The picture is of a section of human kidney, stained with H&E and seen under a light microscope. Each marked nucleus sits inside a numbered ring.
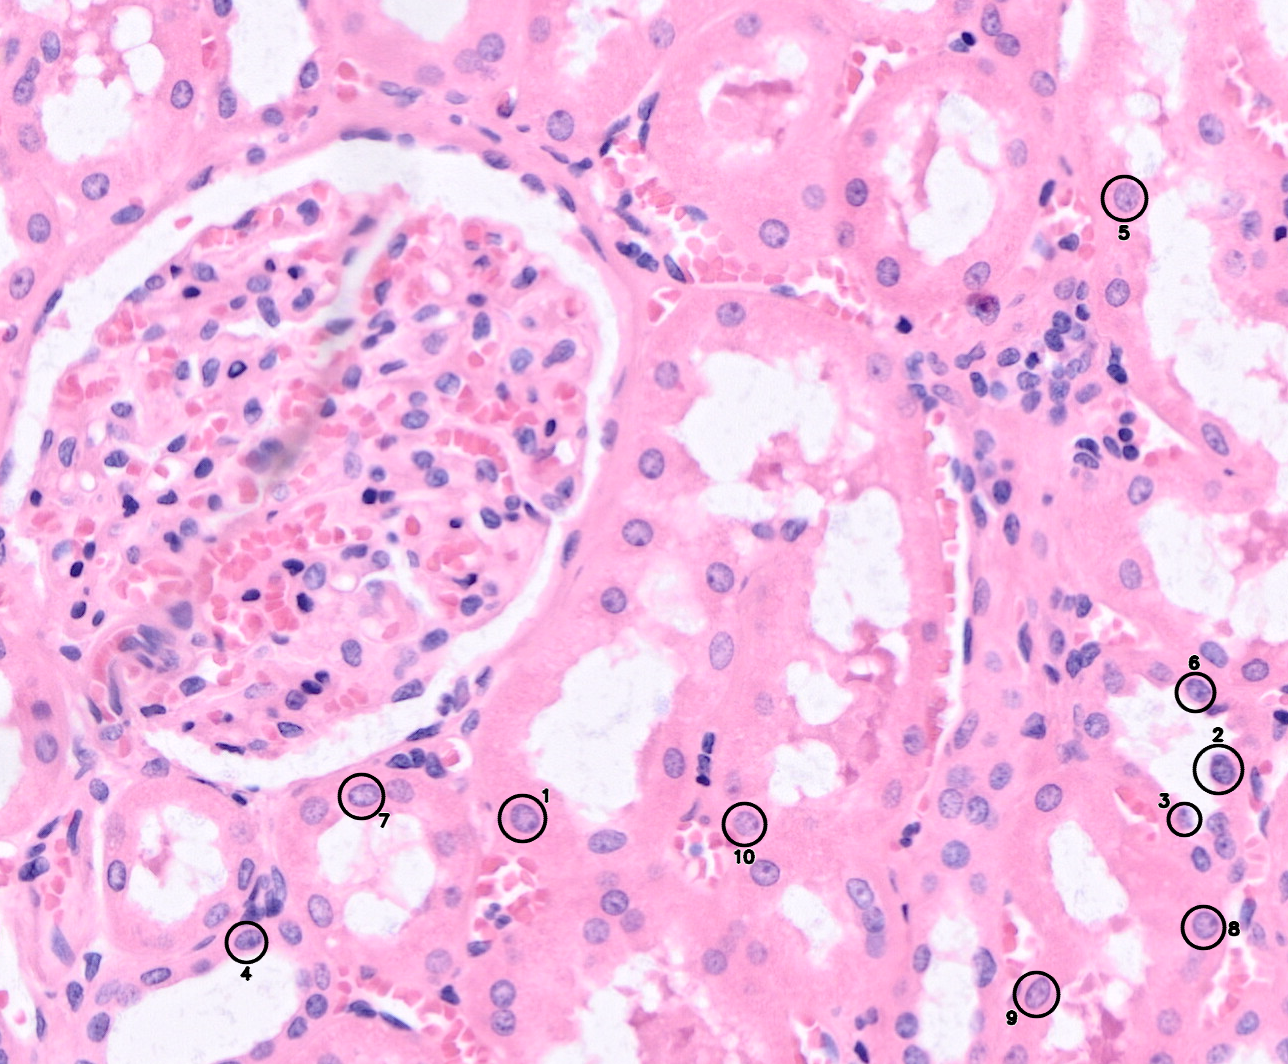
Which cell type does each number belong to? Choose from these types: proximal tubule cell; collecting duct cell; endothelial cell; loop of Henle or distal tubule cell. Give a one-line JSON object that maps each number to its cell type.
{"1": "proximal tubule cell", "2": "loop of Henle or distal tubule cell", "3": "loop of Henle or distal tubule cell", "4": "collecting duct cell", "5": "proximal tubule cell", "6": "loop of Henle or distal tubule cell", "7": "proximal tubule cell", "8": "proximal tubule cell", "9": "proximal tubule cell", "10": "proximal tubule cell"}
